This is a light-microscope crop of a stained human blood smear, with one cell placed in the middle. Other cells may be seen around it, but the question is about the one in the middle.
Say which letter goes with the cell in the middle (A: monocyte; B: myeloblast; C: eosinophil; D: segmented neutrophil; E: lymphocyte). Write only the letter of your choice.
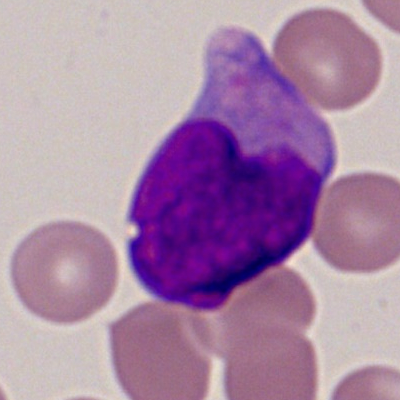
B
